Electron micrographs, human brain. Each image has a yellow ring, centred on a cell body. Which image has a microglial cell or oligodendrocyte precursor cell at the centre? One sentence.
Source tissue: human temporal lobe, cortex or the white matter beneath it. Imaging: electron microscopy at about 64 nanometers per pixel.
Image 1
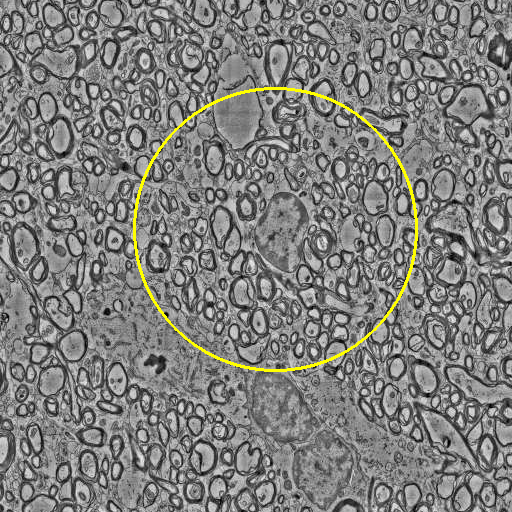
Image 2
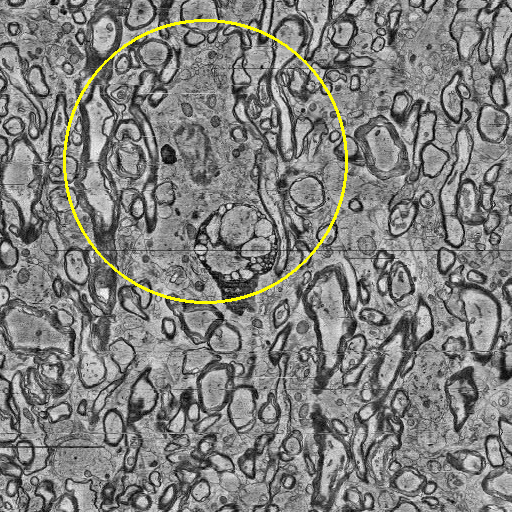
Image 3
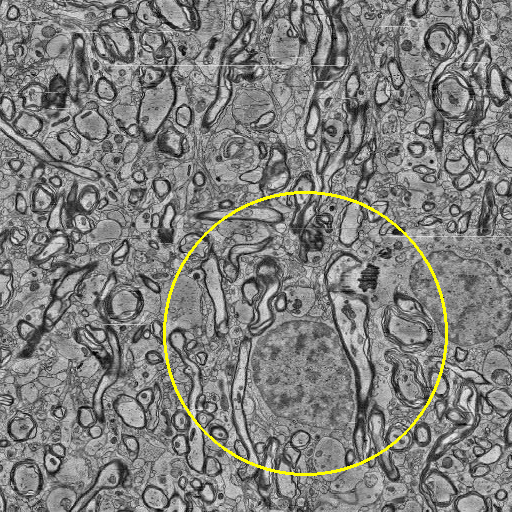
The ring in Image 1 is centred on it.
